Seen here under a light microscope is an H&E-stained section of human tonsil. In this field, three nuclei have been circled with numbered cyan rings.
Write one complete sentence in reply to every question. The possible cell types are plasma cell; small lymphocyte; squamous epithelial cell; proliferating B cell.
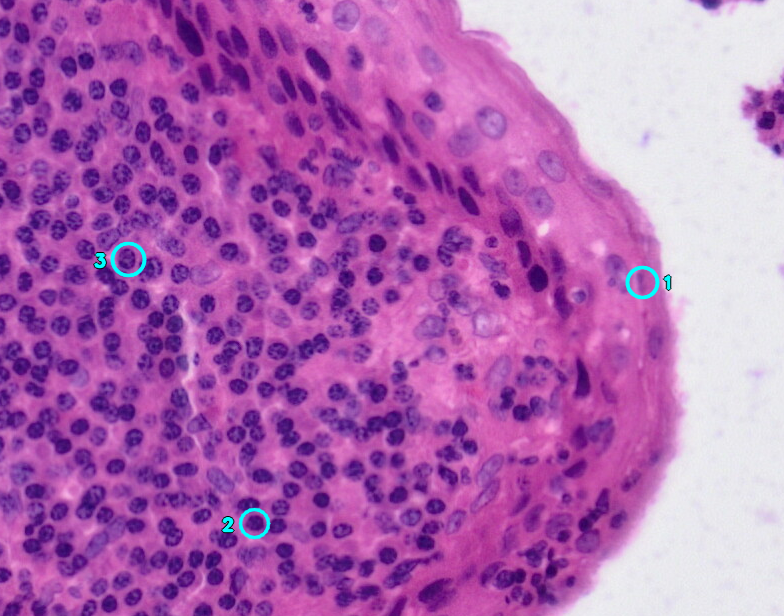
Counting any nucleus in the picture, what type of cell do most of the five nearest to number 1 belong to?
Most of the five nuclei nearest to number 1 are those of squamous epithelial cells.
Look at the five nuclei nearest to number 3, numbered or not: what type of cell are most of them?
Of the five nuclei nearest to number 3, most belong to plasma cells.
